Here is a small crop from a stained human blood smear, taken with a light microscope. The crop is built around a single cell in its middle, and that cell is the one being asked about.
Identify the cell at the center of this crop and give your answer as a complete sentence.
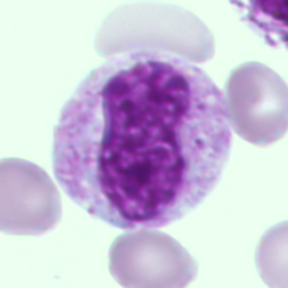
As for the cell in the middle, it is a metamyelocyte.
